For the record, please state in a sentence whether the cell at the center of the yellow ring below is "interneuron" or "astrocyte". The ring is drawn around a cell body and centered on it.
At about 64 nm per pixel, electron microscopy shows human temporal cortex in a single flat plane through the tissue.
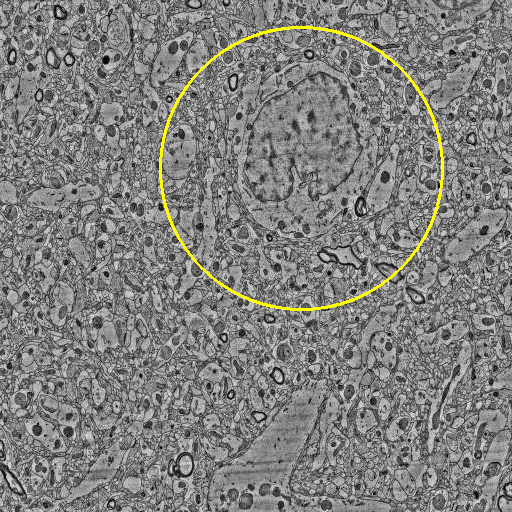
The cell at the ring's center is an interneuron.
